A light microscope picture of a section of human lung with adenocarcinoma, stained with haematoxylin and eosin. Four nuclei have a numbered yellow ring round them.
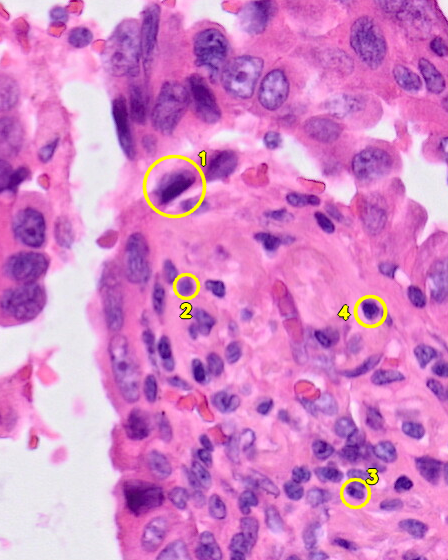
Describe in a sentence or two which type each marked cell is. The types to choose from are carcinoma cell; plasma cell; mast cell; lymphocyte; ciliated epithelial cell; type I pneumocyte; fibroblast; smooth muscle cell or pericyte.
Cell 1 is a carcinoma cell. Cells 2, 3 and 4 are lymphocytes.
